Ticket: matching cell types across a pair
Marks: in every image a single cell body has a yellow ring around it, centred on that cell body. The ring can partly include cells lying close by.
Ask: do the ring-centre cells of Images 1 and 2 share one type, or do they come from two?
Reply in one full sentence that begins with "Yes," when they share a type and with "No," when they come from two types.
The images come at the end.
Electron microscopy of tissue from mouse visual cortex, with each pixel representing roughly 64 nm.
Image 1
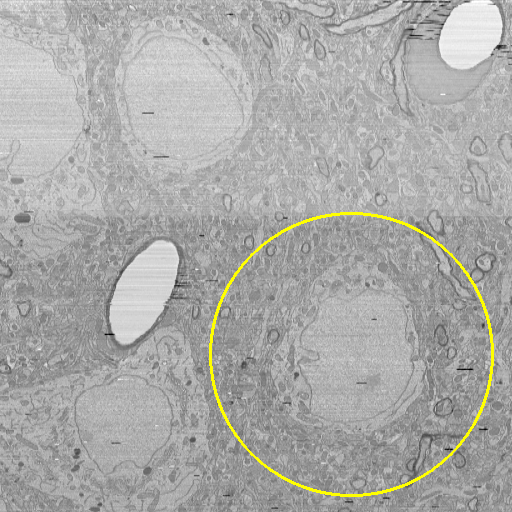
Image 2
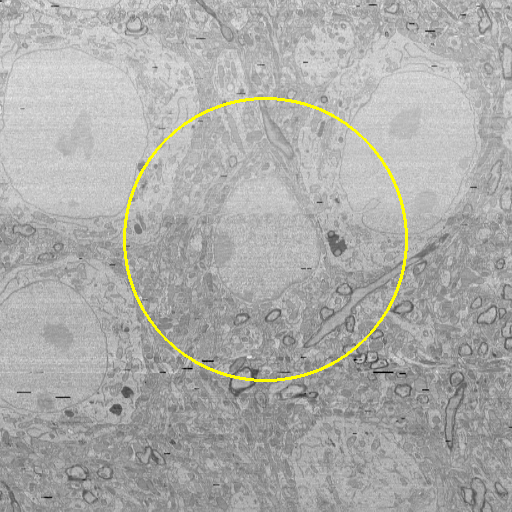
No, the cells in the centres of the rings in Image 1 and Image 2 come from two types.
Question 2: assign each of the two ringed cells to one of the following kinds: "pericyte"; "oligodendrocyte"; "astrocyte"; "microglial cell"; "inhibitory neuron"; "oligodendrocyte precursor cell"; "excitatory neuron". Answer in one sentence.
The two cells are an excitatory neuron in the first picture and an astrocyte in the second.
